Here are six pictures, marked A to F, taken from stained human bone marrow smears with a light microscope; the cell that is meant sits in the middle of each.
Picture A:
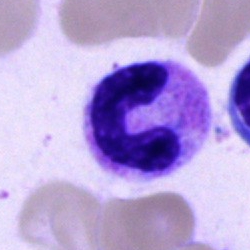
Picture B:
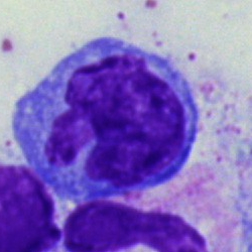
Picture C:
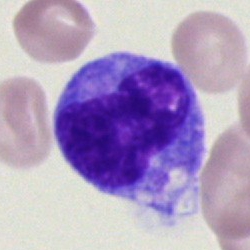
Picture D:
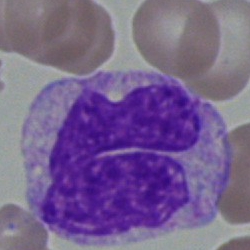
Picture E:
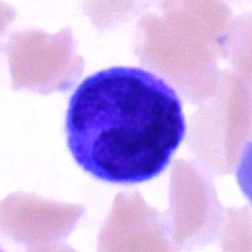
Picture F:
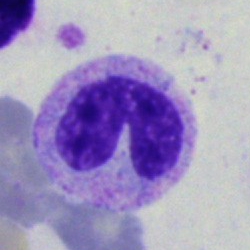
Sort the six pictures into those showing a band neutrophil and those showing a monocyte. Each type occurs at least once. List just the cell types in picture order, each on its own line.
band neutrophil
monocyte
monocyte
monocyte
monocyte
band neutrophil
